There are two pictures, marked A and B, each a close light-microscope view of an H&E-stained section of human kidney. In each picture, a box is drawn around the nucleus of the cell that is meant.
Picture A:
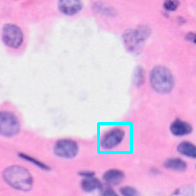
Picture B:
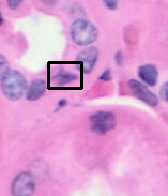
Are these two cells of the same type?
no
